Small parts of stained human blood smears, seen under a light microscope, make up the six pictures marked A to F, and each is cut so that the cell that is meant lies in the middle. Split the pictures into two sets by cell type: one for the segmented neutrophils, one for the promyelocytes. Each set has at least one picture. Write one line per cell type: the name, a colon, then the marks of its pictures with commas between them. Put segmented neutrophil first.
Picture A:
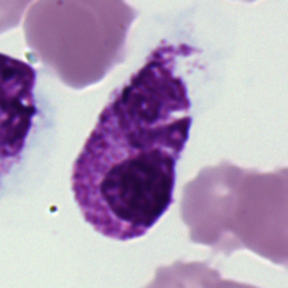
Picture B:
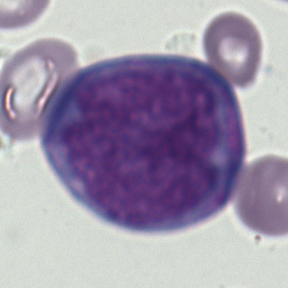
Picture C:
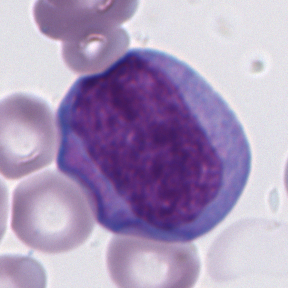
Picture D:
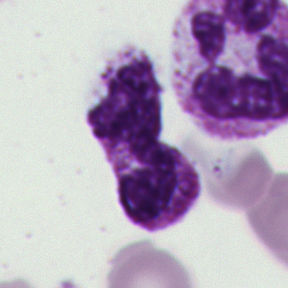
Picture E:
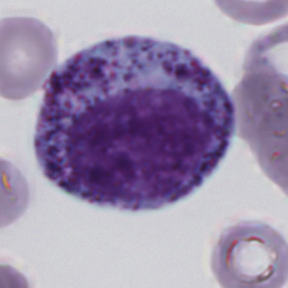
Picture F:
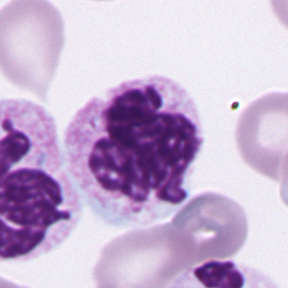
segmented neutrophil: A, D, F
promyelocyte: B, C, E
